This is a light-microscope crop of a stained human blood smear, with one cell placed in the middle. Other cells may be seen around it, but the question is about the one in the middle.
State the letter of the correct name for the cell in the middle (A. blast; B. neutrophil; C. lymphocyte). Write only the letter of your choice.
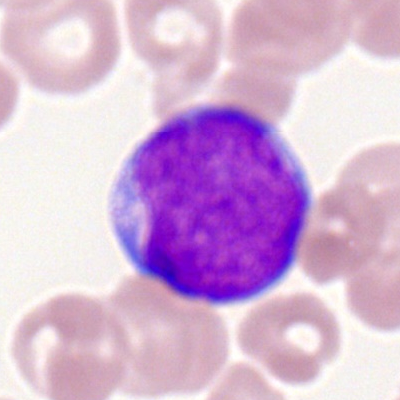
A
